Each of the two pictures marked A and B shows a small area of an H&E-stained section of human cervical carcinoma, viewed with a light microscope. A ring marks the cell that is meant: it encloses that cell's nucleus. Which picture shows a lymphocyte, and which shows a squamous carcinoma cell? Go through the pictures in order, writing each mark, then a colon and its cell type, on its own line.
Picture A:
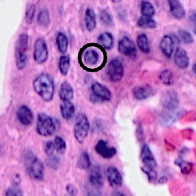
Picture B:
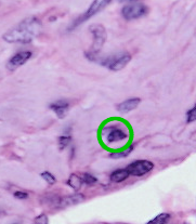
A: squamous carcinoma cell
B: lymphocyte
